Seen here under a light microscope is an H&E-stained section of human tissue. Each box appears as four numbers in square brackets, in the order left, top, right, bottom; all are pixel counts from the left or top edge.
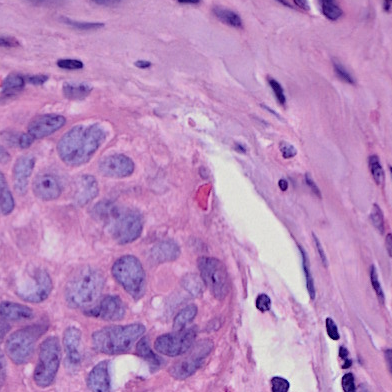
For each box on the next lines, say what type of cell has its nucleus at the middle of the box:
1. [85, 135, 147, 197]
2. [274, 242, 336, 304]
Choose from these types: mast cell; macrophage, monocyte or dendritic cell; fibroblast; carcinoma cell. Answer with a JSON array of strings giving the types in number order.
["carcinoma cell", "fibroblast"]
